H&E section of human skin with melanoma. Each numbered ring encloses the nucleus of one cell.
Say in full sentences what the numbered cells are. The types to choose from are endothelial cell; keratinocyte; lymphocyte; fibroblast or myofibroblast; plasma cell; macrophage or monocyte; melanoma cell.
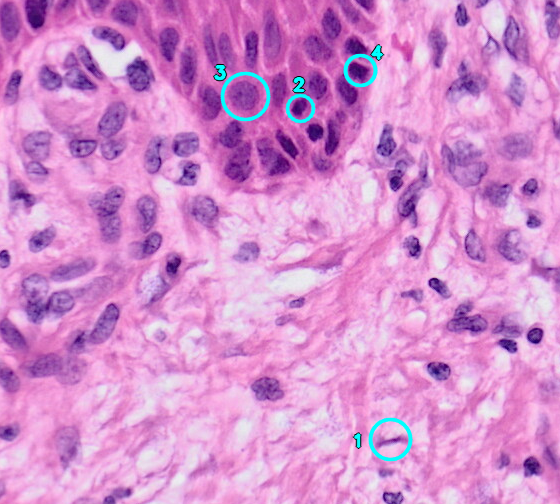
Cell 1 is a fibroblast or myofibroblast, cell 2 is a keratinocyte, cell 3 is a keratinocyte and cell 4 is a keratinocyte.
